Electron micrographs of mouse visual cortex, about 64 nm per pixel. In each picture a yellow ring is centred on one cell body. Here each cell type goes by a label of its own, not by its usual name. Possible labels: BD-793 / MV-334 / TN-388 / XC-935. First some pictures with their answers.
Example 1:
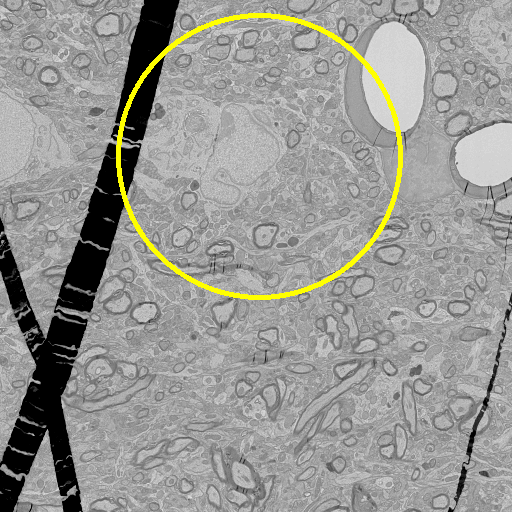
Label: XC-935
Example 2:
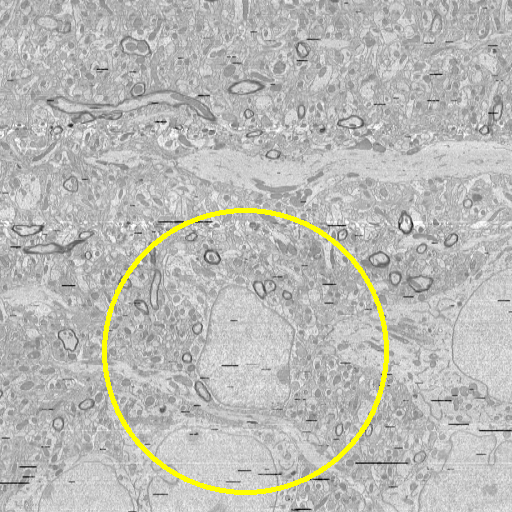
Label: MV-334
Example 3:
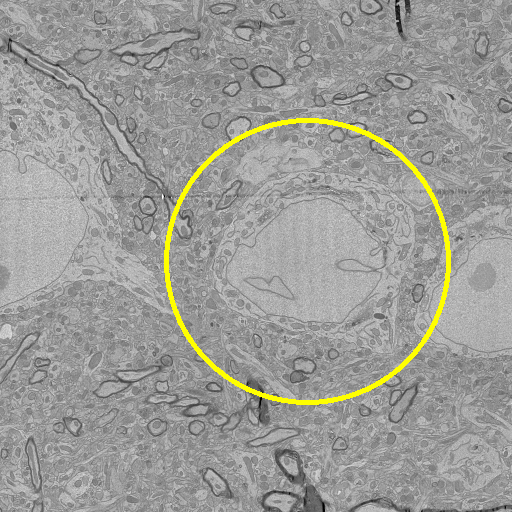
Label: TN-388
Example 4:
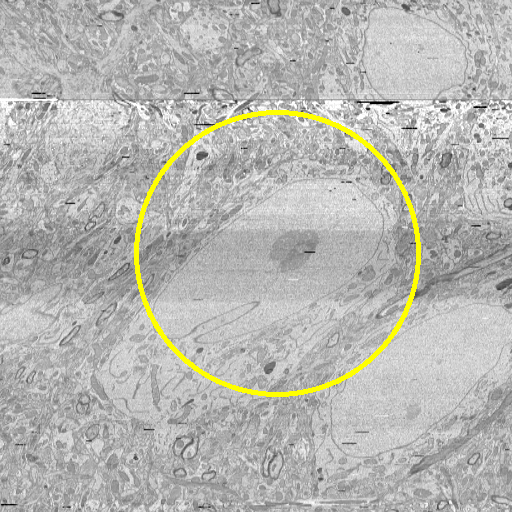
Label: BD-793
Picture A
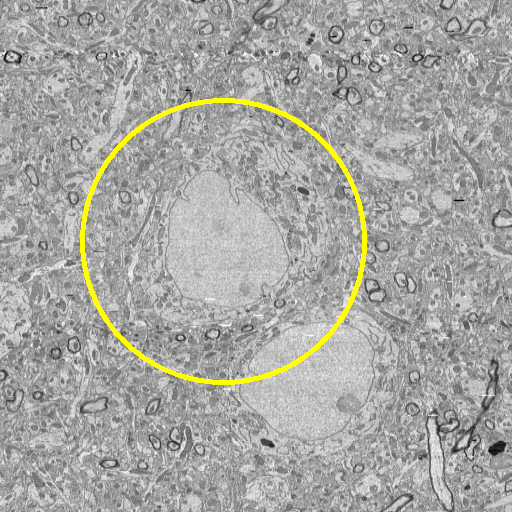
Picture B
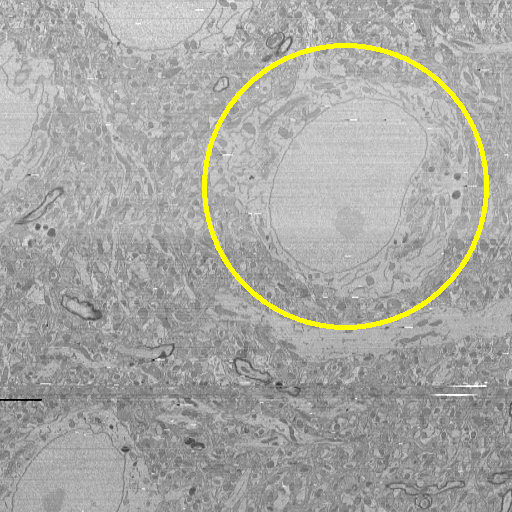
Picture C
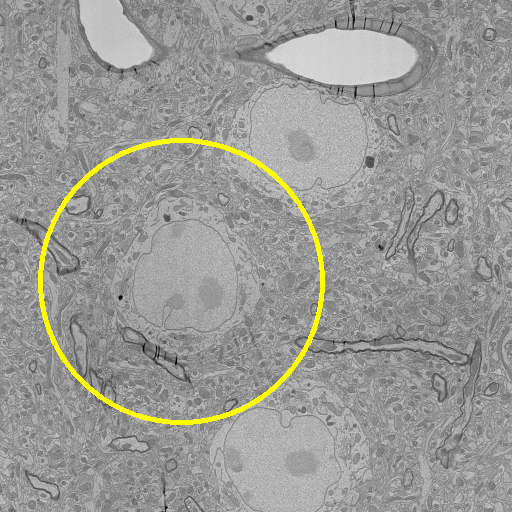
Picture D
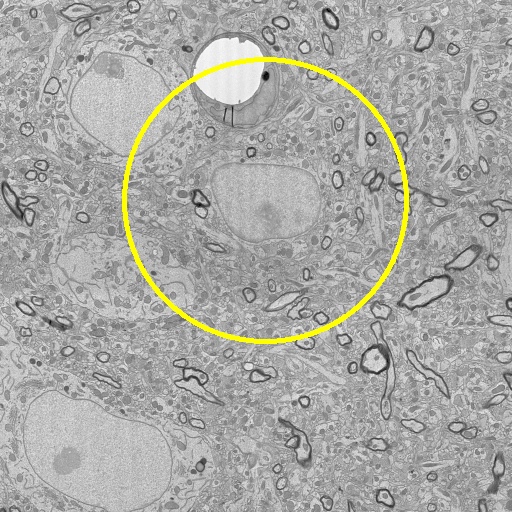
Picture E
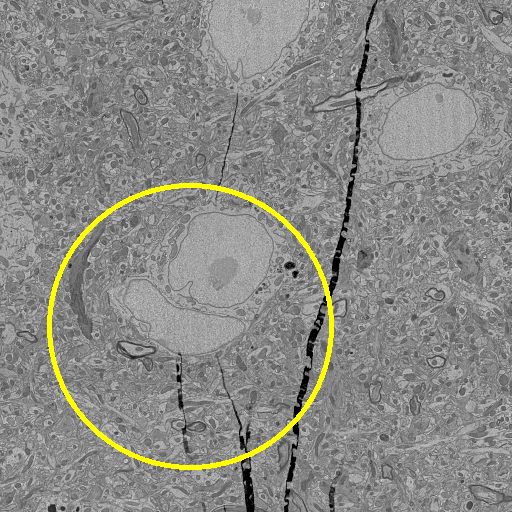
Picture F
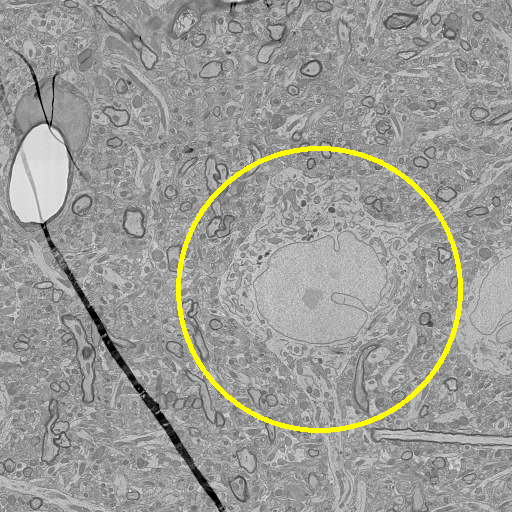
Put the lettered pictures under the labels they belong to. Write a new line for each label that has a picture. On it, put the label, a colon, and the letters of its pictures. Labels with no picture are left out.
BD-793: B, C
MV-334: D
TN-388: A, F
XC-935: E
